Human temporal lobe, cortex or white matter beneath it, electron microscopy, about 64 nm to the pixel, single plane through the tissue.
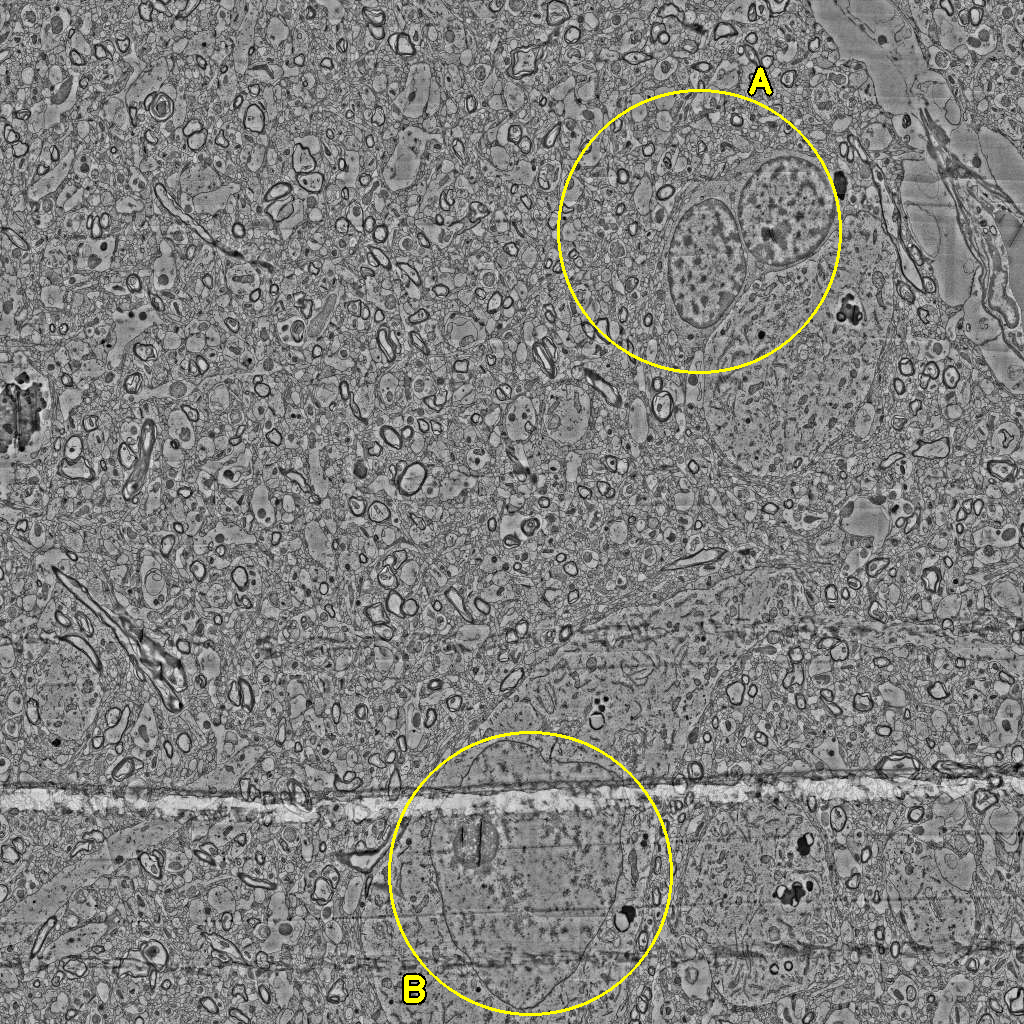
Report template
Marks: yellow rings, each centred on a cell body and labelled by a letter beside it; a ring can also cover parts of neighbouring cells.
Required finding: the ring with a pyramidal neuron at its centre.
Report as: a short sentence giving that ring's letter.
Ring B holds that cell at its centre.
